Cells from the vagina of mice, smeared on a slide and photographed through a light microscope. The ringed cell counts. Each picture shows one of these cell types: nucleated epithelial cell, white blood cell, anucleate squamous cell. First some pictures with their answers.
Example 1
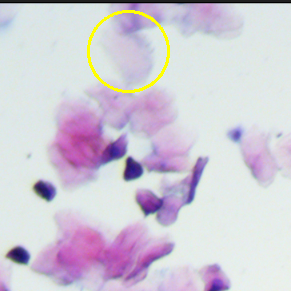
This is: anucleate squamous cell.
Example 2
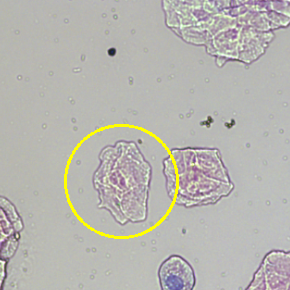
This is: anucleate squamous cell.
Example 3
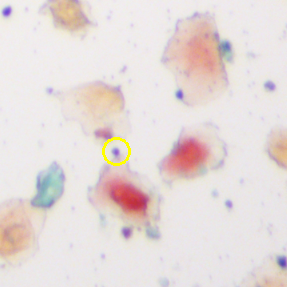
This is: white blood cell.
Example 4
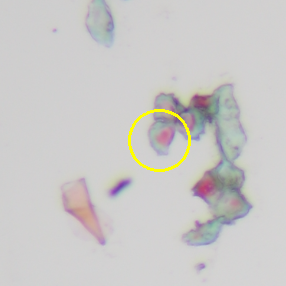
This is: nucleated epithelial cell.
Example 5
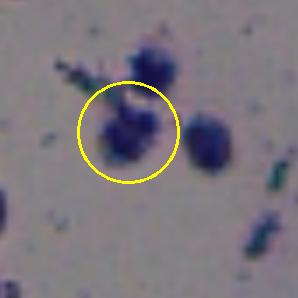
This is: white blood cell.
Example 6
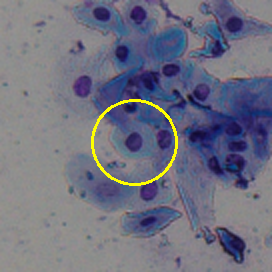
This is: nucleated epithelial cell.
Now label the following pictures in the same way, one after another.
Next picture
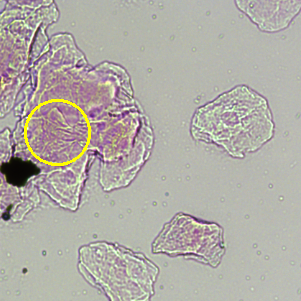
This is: anucleate squamous cell.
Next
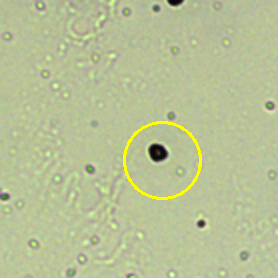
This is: white blood cell.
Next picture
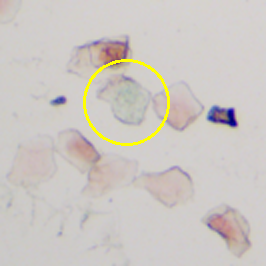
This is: anucleate squamous cell.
